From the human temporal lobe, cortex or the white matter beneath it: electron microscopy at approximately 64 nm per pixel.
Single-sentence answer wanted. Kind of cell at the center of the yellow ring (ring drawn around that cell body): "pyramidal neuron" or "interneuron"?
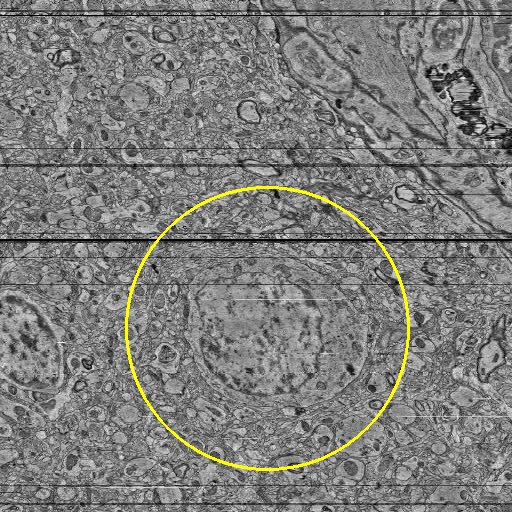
The cell centered in the ring is an interneuron.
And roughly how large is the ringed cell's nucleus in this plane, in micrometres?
The nucleus comes to roughly 9 by 8 micrometres in this plane.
